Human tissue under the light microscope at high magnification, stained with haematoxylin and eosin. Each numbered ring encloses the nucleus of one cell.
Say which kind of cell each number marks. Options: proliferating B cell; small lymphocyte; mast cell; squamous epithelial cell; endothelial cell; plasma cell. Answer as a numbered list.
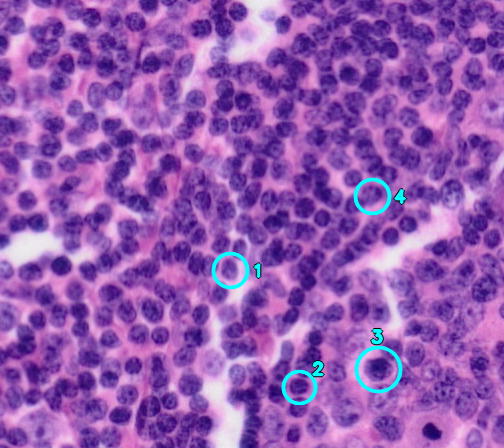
1. small lymphocyte
2. small lymphocyte
3. proliferating B cell
4. small lymphocyte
